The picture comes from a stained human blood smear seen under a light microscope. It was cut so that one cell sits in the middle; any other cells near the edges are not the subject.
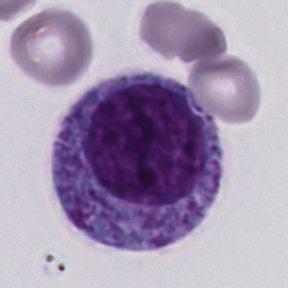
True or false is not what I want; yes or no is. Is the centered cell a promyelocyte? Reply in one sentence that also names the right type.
Yes, that is right: the middle cell is a promyelocyte.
